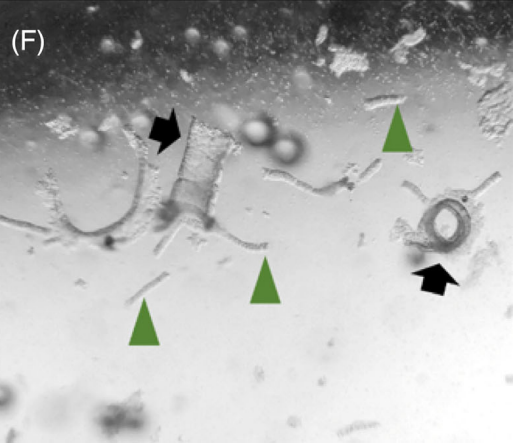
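This is a low-magnification, unstained view of loose intestinal epithelium released from the tissue and floating in medium. Scattered across the field are small, slender, rod-like tubes, the isolated crypts, lying singly and at various angles. Alongside them are a few much larger, broader hollow structures, the villi, one appearing as a ring seen end-on and another as a wide open tube. Round bubbles and fine granular debris are spread through the background. No cellular detail within the structures can be resolved at this scale; only their outlines and relative sizes are visible.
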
